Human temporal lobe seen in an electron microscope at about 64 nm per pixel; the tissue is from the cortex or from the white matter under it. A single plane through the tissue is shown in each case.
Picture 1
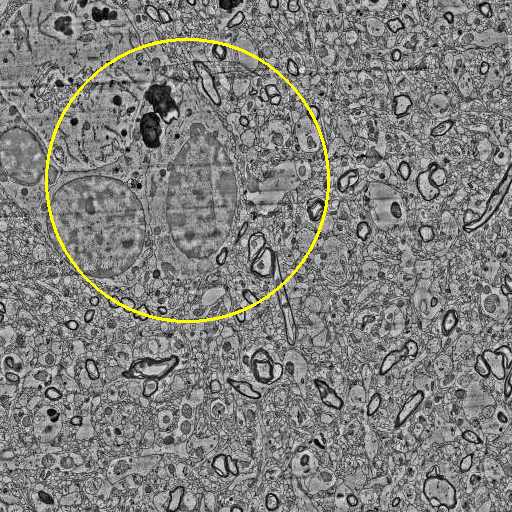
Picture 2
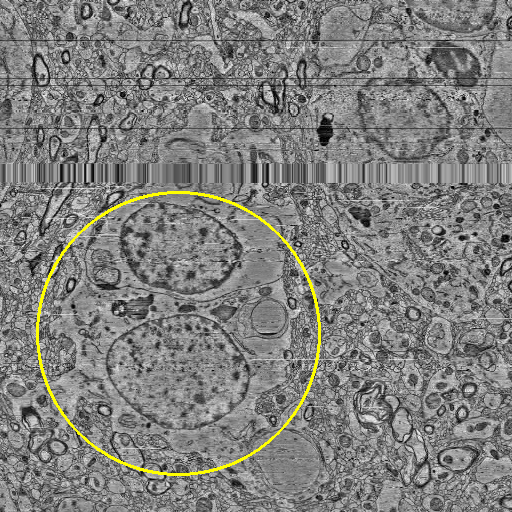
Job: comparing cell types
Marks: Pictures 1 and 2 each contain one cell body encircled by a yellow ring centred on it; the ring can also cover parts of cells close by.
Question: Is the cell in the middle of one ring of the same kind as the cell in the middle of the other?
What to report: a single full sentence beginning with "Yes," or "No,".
No, the cell at the ring centre in Picture 1 and its partner in Picture 2 are of two kinds.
